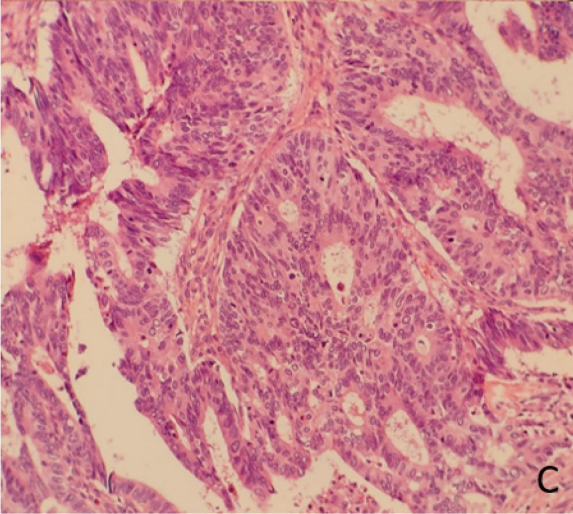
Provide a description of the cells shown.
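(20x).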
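Adenocarcinoma made of crowded tubular and cribriform glands of atypical epithelioid cells. The epithelium is stratified, with elongated to oval, hyperchromatic nuclei crowded along the gland borders, and sheets of cells are pierced by small round lumens, some holding pink debris. Thin strands of pink fibrous stroma run between the tumor glands, and open clefts separate groups of epithelium.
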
